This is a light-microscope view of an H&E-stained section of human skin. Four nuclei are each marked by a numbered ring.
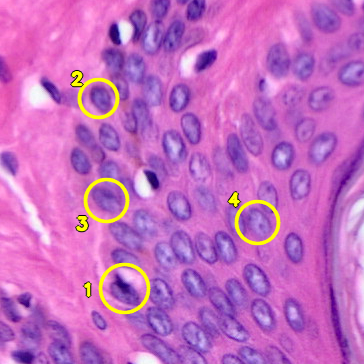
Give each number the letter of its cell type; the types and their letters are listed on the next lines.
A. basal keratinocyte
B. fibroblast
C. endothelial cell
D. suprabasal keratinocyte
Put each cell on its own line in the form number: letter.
1: A
2: A
3: A
4: D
